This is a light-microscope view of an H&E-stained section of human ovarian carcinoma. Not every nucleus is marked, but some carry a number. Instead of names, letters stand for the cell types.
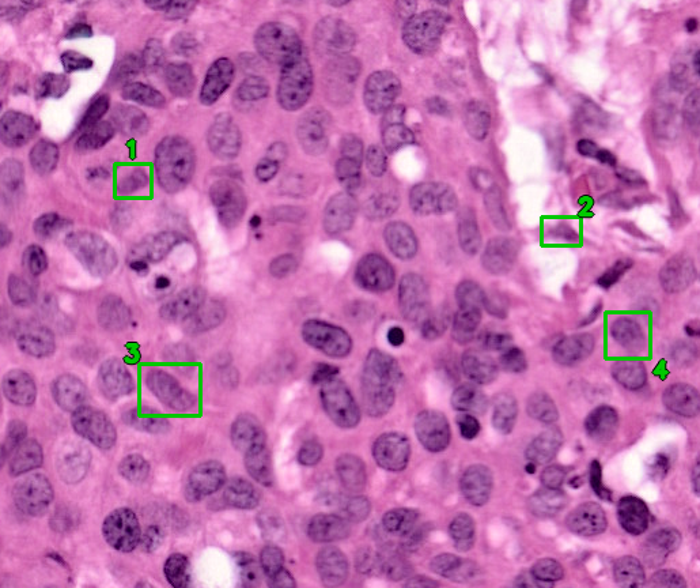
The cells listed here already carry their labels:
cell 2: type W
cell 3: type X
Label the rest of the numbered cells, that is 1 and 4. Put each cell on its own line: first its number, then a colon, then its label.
1: type X
4: type X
